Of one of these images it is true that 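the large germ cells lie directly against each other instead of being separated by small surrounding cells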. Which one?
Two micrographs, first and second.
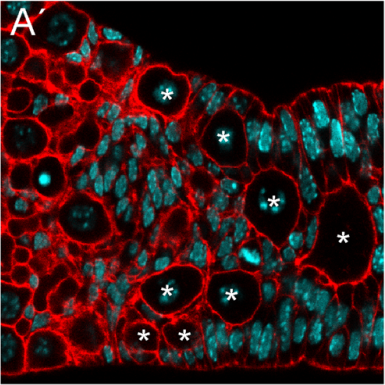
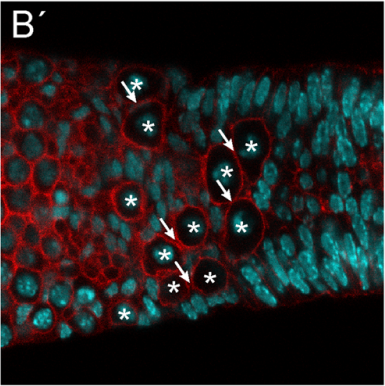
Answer: The second image.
